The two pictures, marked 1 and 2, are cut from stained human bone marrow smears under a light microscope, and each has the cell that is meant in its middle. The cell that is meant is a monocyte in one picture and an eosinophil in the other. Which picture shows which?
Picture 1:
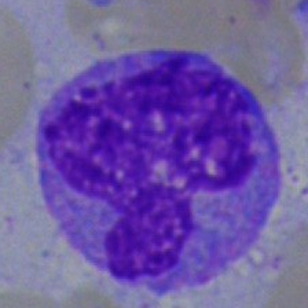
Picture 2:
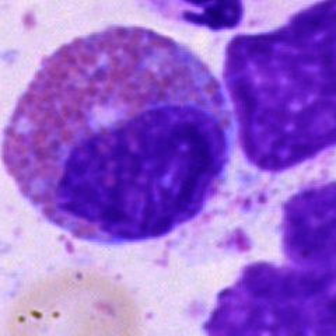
1: monocyte
2: eosinophil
